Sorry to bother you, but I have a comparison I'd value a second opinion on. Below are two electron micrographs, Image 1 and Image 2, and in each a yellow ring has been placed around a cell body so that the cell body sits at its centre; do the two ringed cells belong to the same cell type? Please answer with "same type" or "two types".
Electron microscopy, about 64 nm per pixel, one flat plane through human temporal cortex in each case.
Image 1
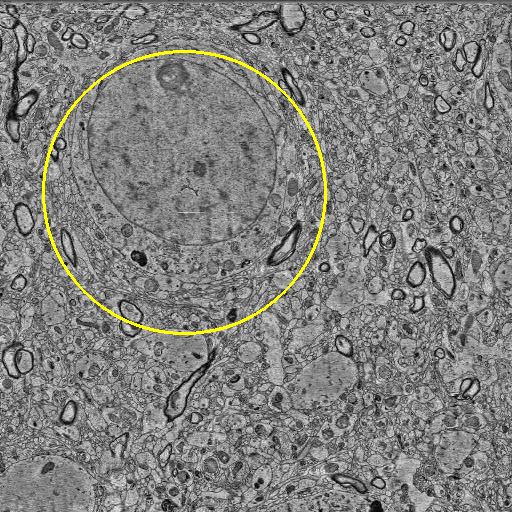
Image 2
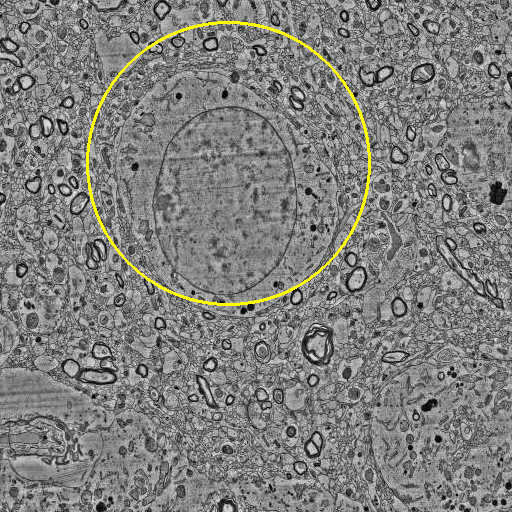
same type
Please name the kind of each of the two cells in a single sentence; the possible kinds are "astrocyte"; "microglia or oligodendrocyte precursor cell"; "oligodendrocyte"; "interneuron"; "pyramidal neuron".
Each of the two cells is a pyramidal neuron.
